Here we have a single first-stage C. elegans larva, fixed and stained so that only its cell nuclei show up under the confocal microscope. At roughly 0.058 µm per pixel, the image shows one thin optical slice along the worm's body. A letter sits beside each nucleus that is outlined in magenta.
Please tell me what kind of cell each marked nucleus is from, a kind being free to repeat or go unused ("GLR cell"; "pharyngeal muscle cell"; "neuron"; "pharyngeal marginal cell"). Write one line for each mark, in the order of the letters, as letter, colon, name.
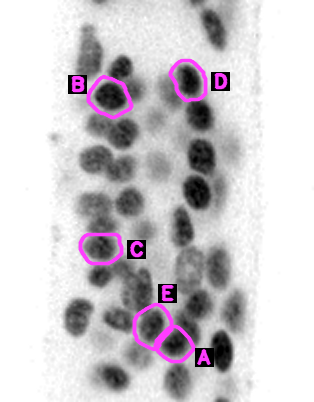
A: neuron
B: neuron
C: neuron
D: GLR cell
E: pharyngeal muscle cell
